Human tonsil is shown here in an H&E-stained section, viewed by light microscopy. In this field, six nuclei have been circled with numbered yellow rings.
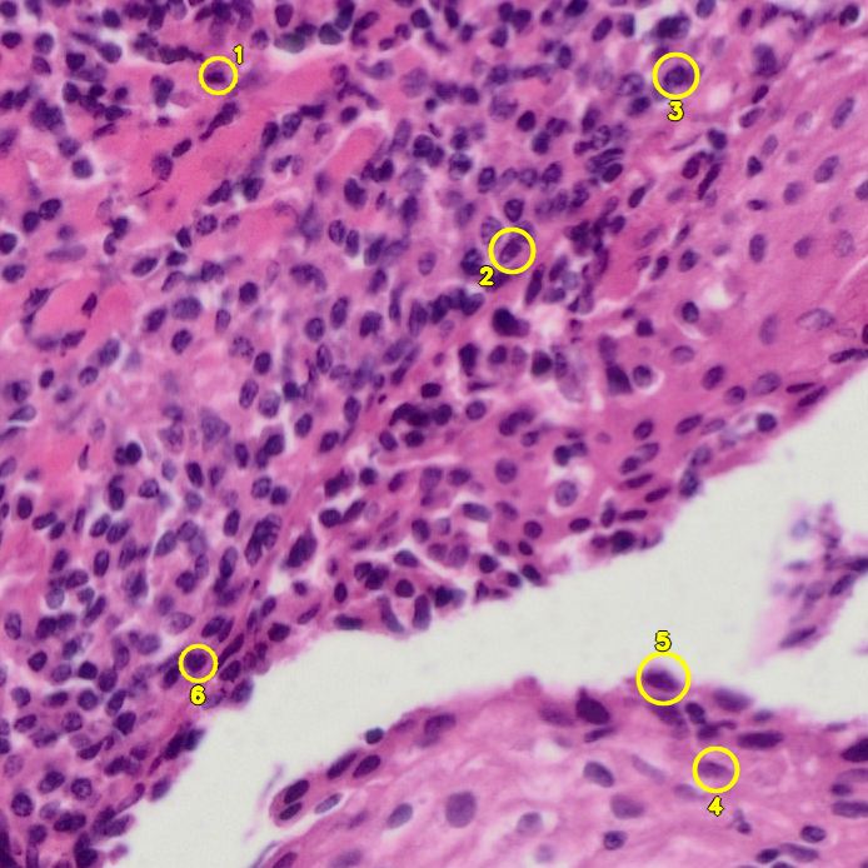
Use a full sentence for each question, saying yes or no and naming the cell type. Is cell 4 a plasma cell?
No, the cell under number 4 is a squamous epithelial cell instead of a plasma cell.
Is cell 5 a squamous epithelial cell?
Yes, the cell corresponding to number 5 is a squamous epithelial cell.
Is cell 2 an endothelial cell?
No, the cell bearing number 2 is not an endothelial cell but a plasma cell.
